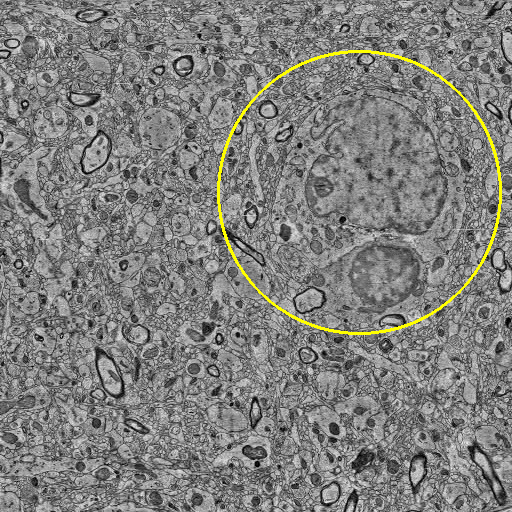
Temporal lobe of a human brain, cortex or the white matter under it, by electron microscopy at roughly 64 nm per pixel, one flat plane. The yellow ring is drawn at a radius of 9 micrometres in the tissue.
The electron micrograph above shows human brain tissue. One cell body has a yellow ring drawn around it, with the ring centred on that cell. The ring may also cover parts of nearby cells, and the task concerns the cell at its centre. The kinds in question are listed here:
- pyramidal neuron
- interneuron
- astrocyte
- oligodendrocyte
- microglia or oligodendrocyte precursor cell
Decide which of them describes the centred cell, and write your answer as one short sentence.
The centred cell is an interneuron.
